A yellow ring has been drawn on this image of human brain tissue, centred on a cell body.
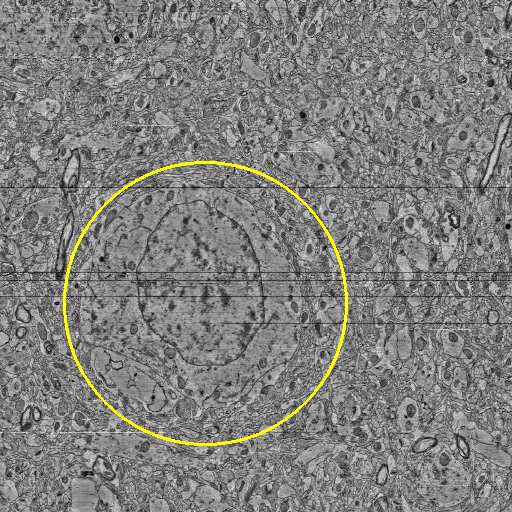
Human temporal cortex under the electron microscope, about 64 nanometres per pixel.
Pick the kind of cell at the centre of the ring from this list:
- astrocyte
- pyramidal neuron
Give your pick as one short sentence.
The centre of the ring holds a pyramidal neuron.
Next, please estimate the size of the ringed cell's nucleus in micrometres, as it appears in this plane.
In this plane the nucleus measures roughly 11 by 8 micrometres.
